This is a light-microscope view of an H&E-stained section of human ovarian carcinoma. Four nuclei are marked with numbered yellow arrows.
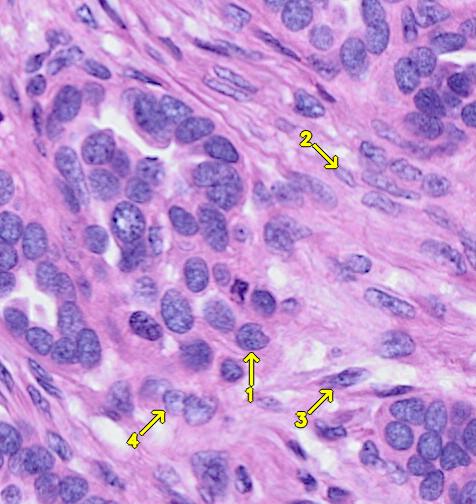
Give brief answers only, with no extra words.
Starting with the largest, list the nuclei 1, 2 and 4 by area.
1, 4, 2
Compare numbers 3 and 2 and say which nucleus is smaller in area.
2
